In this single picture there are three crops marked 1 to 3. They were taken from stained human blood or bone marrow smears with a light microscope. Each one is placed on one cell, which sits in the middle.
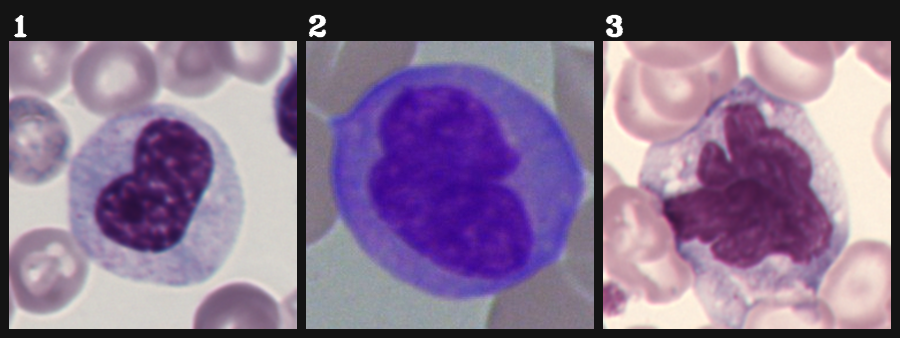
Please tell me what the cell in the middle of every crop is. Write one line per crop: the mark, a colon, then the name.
1: metamyelocyte
2: monocyte
3: monocyte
